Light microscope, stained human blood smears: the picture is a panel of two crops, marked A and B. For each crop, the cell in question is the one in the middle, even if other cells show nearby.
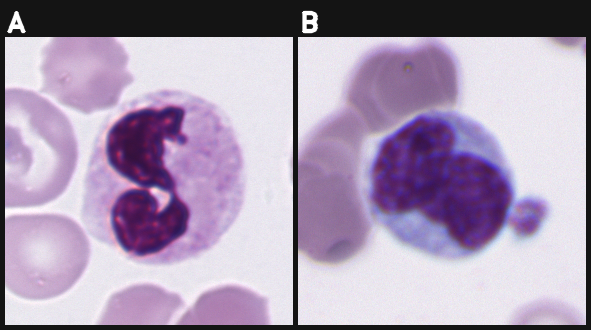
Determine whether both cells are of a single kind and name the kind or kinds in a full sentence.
No, enter a neutrophil for crop A and a monocyte for crop B.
